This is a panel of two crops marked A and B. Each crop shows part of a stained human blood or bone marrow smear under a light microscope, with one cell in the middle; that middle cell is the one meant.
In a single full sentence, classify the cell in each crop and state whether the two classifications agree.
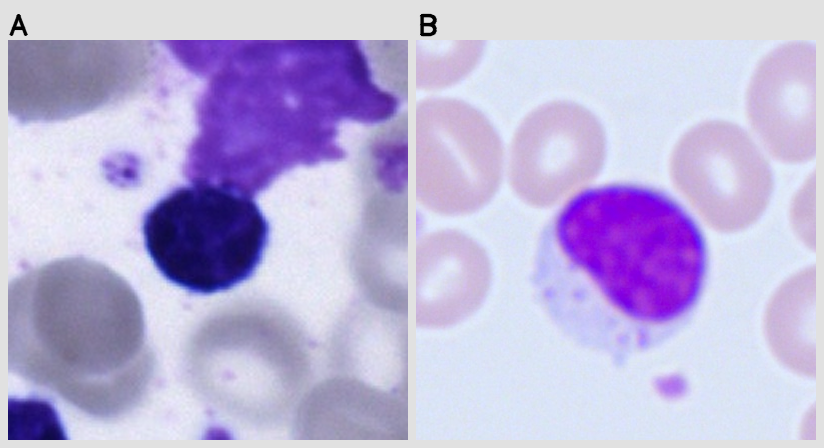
Yes, in short, both crops show lymphocytes.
